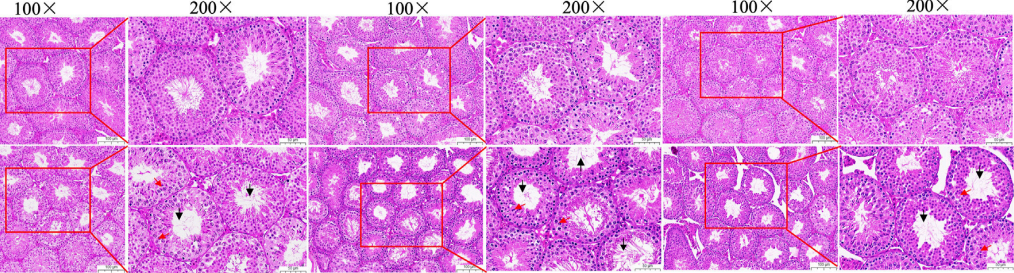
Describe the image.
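These are haematoxylin and eosin sections of testis, cut across many closely packed seminiferous tubules. Each round tubule is lined by a thick, layered seminiferous epithelium. Small dark purple nuclei sit near the outer edge of the tubule, and many more nuclei fill the layers toward the lumen. In several of the lower images the epithelium looks thinner and the lumens look wider and more open, and arrows point into the tubules there.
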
